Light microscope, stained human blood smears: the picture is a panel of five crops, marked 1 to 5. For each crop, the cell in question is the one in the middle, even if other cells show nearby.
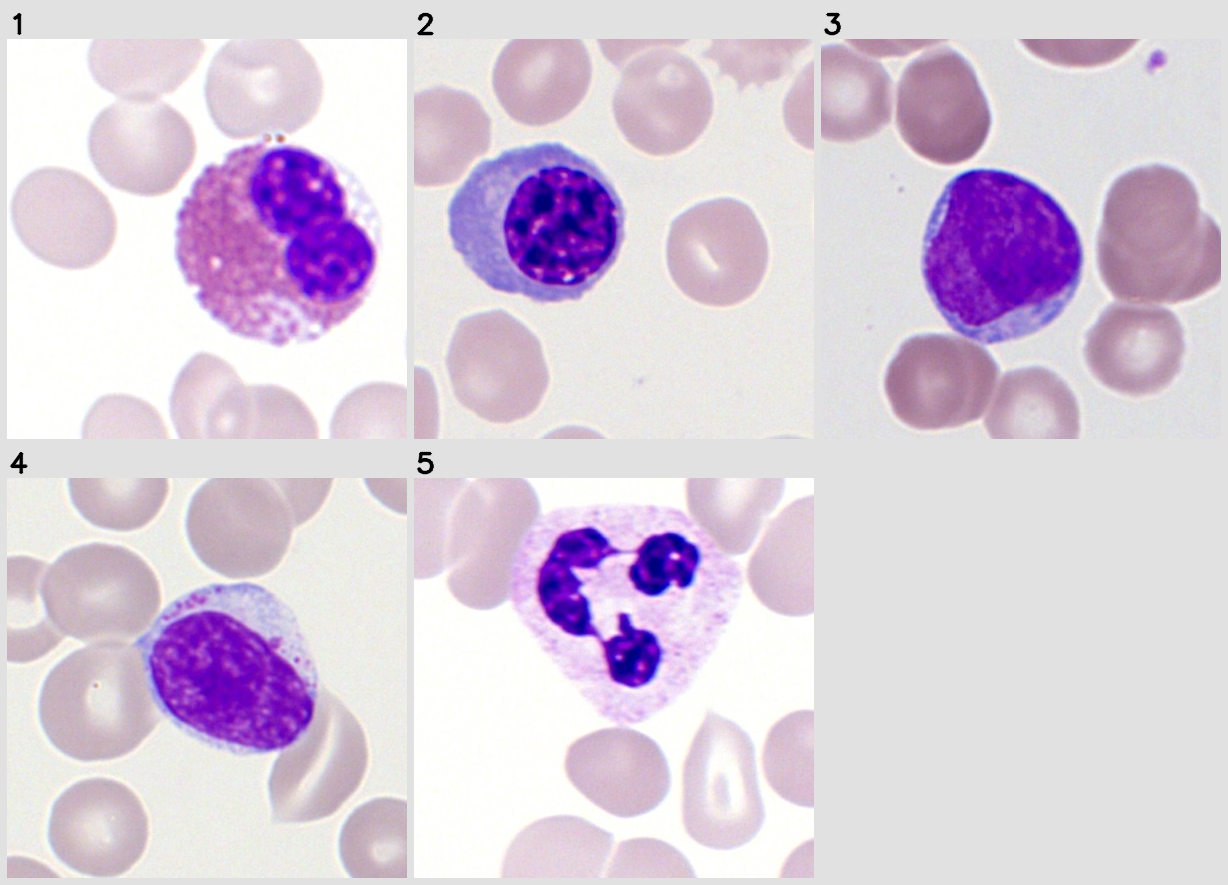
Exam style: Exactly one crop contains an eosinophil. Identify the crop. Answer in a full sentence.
Crop 1 shows an eosinophil, and no other crop does.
